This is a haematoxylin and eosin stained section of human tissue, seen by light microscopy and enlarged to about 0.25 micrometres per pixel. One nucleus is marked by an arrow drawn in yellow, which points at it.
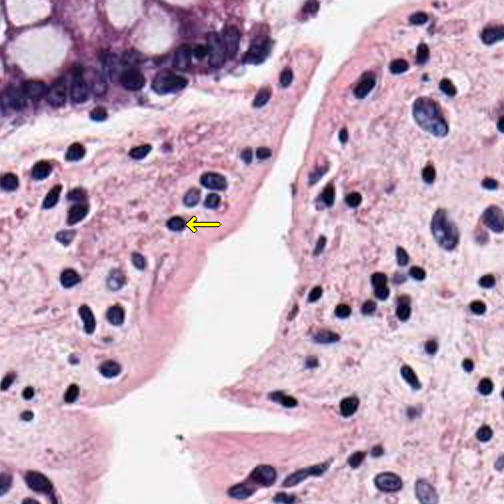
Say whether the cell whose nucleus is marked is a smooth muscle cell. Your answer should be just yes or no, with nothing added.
no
